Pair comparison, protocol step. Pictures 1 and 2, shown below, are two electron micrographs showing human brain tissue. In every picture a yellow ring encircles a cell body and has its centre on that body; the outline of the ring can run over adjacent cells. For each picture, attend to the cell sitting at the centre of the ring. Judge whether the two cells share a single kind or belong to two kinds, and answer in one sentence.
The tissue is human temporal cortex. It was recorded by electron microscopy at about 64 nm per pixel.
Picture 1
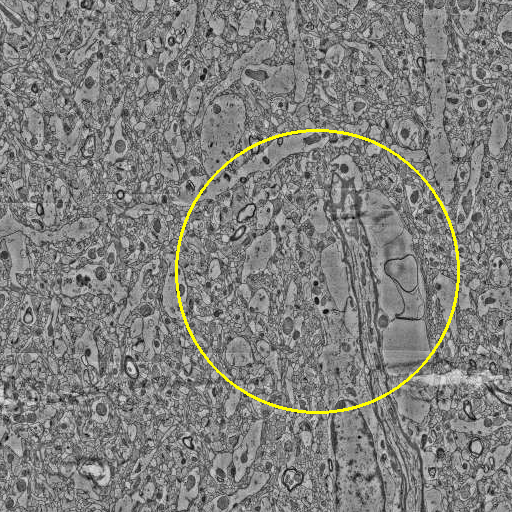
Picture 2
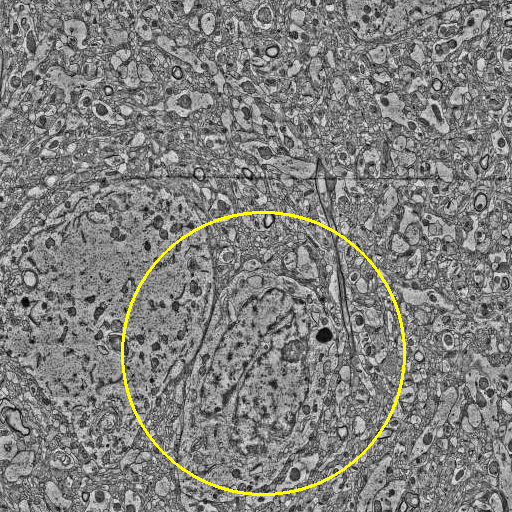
The two cells at the ring centres in Picture 1 and Picture 2 belong to two kinds.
